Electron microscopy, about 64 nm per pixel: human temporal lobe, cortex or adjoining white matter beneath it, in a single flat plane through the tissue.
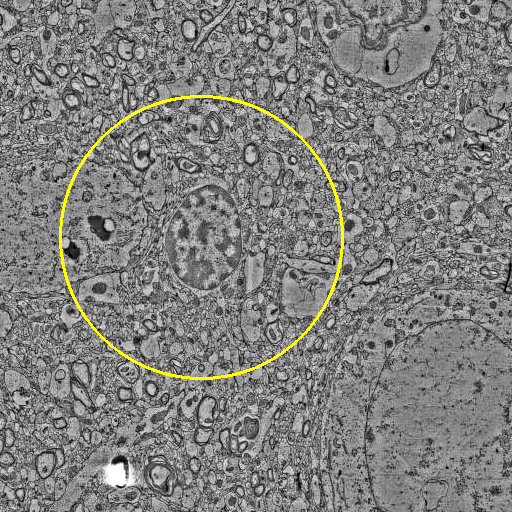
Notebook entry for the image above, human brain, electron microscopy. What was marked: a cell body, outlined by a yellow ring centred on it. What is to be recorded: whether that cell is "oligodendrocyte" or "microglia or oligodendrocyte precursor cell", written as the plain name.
microglia or oligodendrocyte precursor cell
